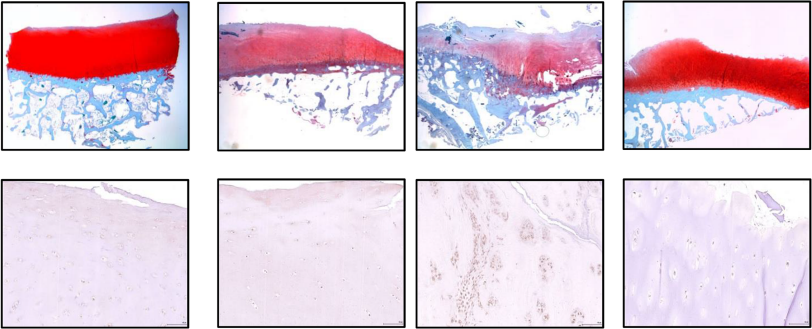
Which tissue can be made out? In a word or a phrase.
Cartilage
